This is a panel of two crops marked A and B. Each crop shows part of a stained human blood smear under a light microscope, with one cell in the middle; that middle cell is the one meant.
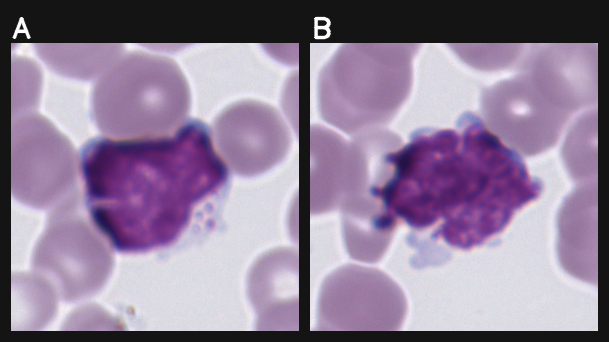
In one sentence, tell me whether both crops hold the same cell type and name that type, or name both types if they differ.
Yes, the reply for both crops is large granular lymphocytes.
